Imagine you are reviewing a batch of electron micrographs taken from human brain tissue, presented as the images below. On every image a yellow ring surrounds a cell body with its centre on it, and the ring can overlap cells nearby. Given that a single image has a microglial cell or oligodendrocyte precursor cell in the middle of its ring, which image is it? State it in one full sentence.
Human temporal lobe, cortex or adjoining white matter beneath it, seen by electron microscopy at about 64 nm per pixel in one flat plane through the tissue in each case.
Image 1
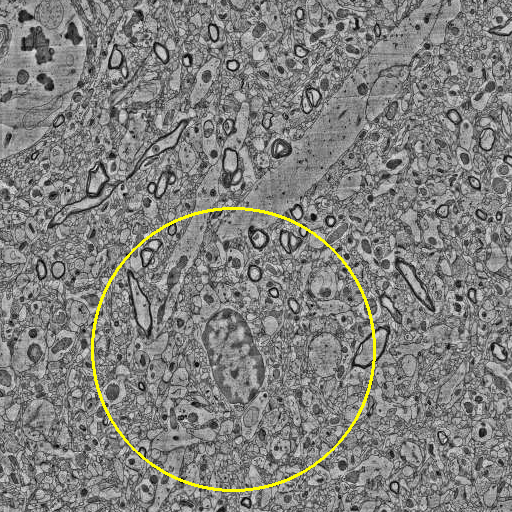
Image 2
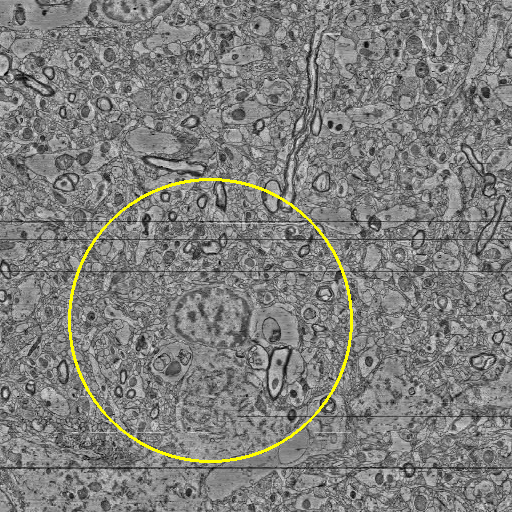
Of all the images, number 1 has the described cell at the centre of its ring.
